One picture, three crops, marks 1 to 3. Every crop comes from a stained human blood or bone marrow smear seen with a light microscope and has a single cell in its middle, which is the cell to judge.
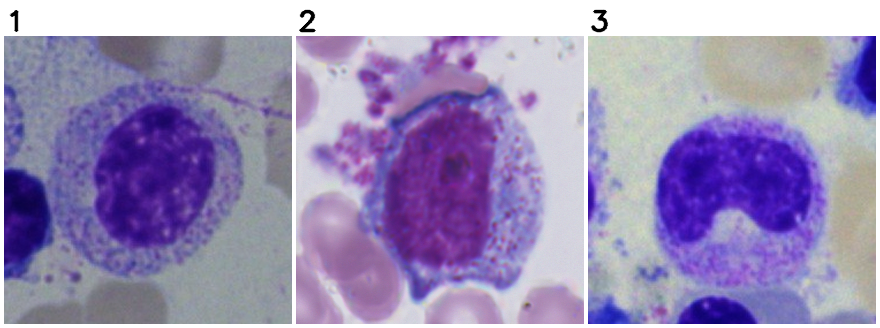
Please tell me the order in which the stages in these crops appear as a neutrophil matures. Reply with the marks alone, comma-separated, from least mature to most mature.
2, 1, 3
